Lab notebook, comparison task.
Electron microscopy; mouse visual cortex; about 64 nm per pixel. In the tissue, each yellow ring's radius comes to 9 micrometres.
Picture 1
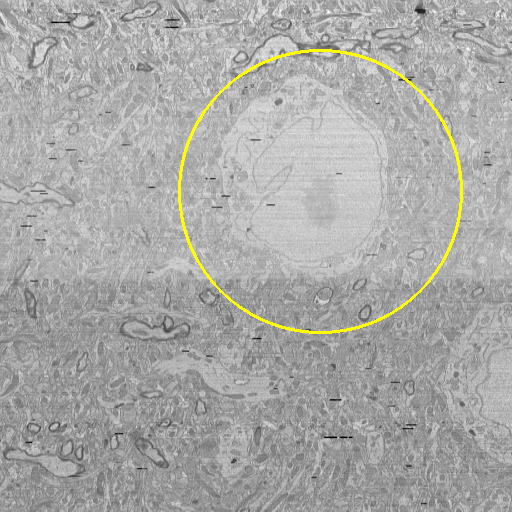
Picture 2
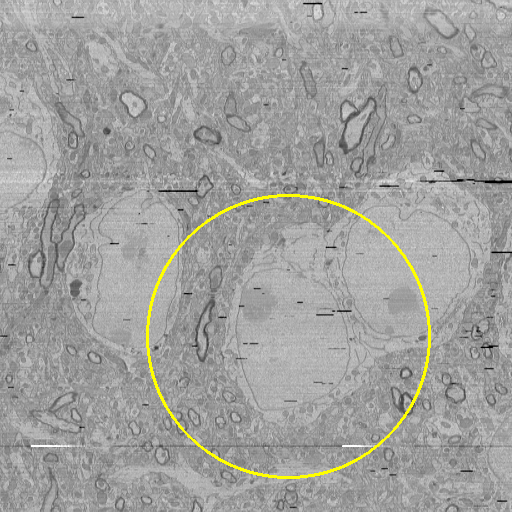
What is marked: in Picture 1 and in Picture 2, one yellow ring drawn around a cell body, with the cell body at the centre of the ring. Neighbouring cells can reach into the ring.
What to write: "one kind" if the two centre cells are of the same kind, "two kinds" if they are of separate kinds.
one kind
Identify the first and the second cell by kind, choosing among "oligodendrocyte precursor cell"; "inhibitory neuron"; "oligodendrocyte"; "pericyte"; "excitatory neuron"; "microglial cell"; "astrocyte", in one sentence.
Each of the two rings surrounds an excitatory neuron.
